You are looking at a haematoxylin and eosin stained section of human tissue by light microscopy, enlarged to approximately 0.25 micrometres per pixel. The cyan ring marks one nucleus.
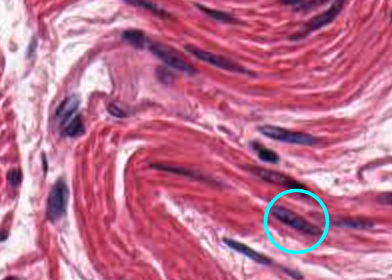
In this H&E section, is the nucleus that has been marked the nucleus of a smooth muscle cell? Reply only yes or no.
yes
